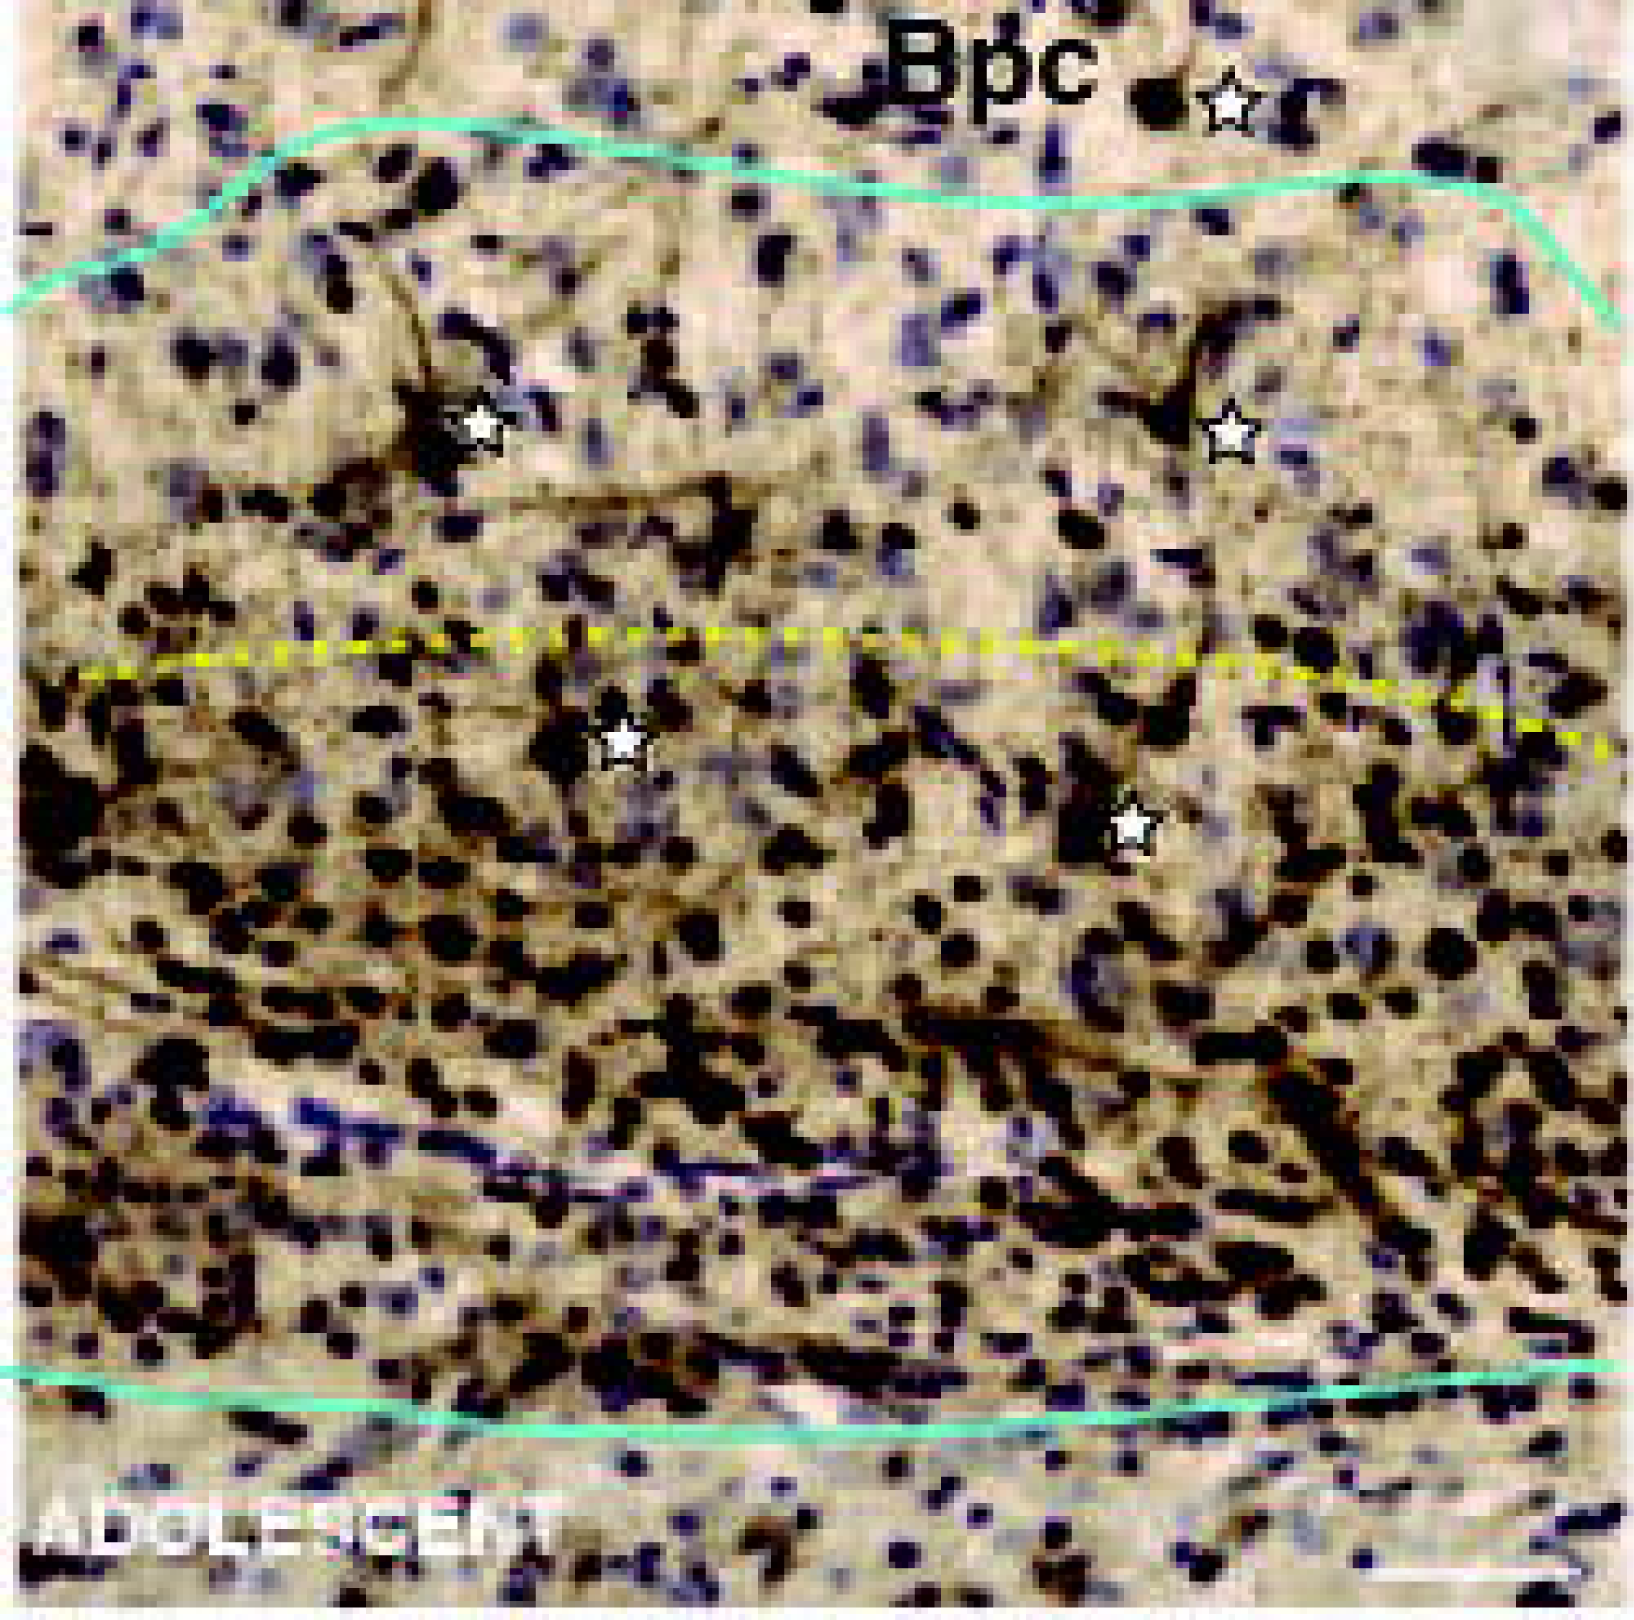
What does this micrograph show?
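Above the yellow dotted line the dark cells are more varied, some larger neurons with short proximal dendrites marked by white stars. A few larger dark cells lie scattered in the paler overlying parvicellular basal nucleus.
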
